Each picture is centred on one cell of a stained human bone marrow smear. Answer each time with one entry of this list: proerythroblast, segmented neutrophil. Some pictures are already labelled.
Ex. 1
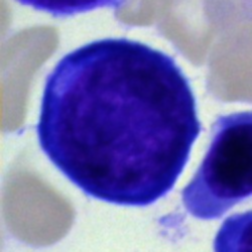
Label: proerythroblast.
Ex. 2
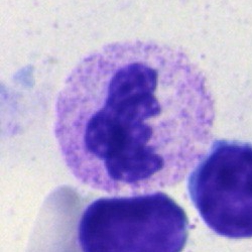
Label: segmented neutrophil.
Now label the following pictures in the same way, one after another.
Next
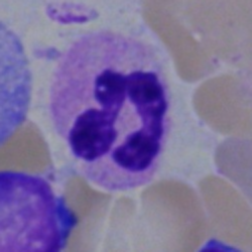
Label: segmented neutrophil.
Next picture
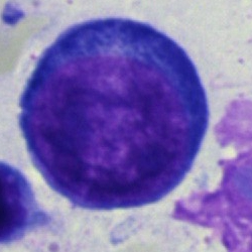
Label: proerythroblast.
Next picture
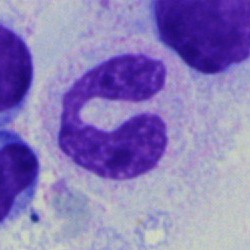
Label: segmented neutrophil.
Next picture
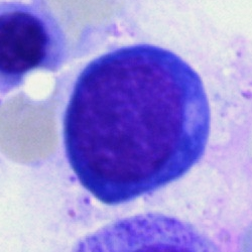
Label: proerythroblast.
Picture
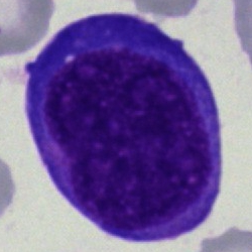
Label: proerythroblast.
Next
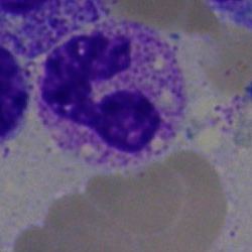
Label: segmented neutrophil.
